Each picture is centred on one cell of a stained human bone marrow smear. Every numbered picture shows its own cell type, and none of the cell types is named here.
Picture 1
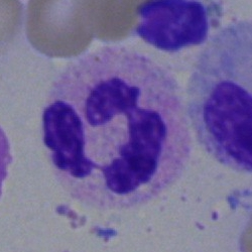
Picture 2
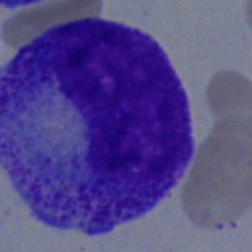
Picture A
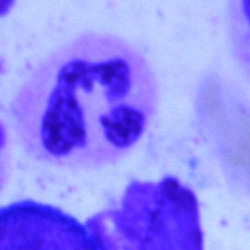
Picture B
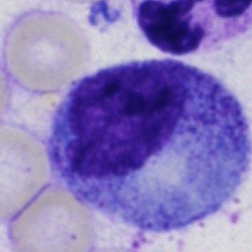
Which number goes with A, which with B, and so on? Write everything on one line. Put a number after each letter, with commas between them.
A 1, B 2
